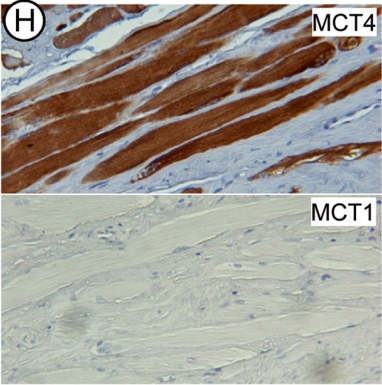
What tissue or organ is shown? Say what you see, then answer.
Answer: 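Striate muscle. Long parallel unbranched fibres run obliquely across both images. Fibres are broad and ribbon-like with nuclei at their edges. Thin strands of connective tissue lie between the fibres.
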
